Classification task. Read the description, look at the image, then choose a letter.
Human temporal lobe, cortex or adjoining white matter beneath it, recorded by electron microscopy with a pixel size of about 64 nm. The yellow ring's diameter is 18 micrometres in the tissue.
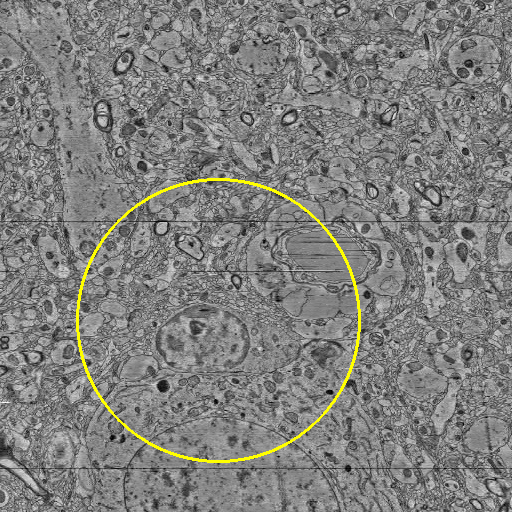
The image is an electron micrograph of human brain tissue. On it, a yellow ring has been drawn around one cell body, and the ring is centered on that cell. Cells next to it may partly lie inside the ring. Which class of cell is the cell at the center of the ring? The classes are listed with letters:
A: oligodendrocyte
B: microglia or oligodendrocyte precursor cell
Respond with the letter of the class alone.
A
